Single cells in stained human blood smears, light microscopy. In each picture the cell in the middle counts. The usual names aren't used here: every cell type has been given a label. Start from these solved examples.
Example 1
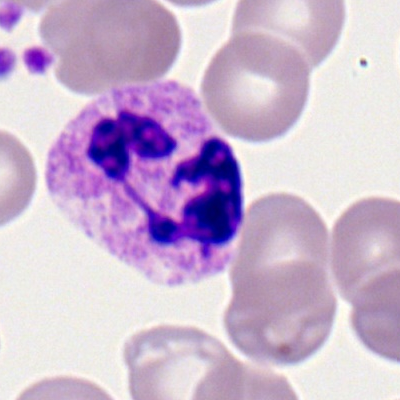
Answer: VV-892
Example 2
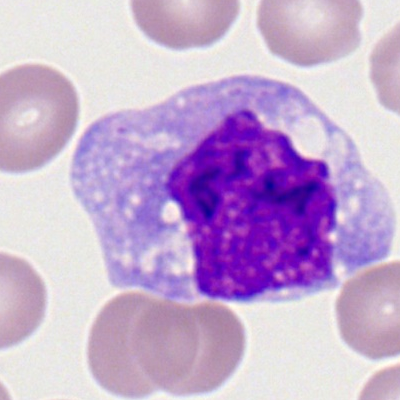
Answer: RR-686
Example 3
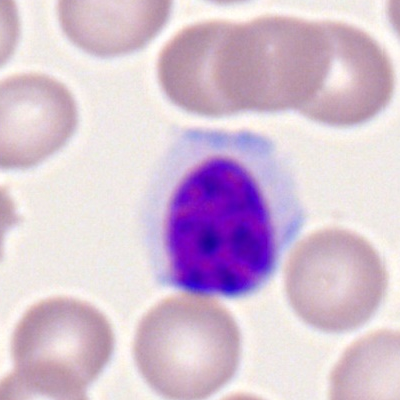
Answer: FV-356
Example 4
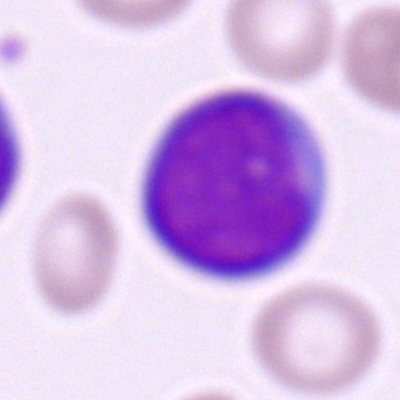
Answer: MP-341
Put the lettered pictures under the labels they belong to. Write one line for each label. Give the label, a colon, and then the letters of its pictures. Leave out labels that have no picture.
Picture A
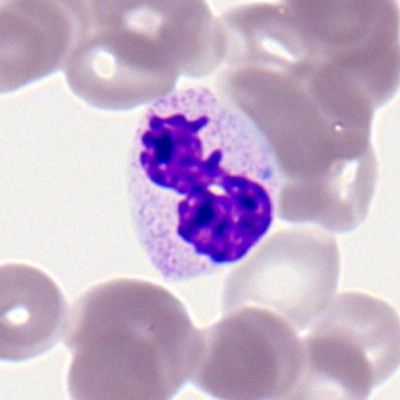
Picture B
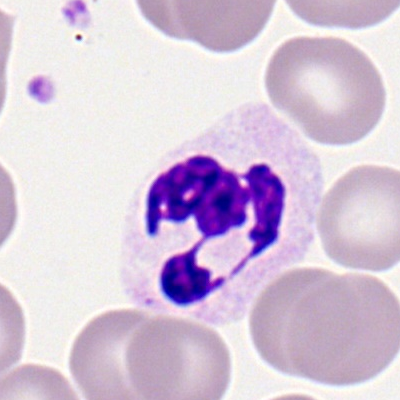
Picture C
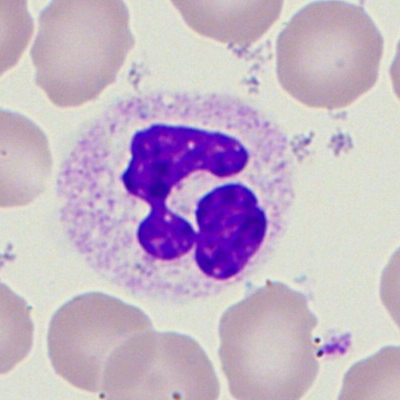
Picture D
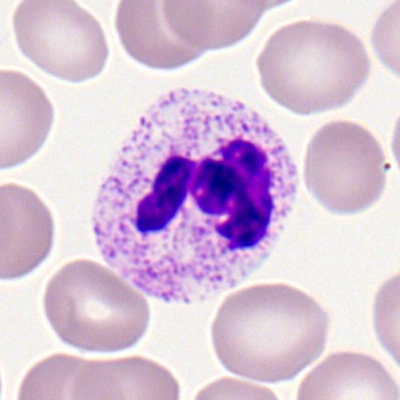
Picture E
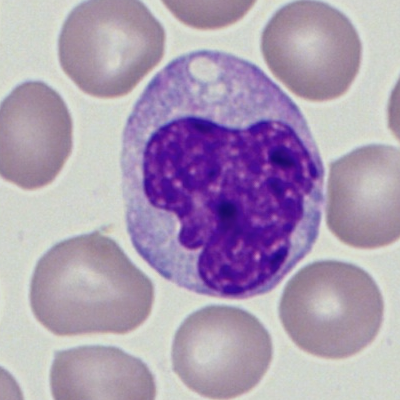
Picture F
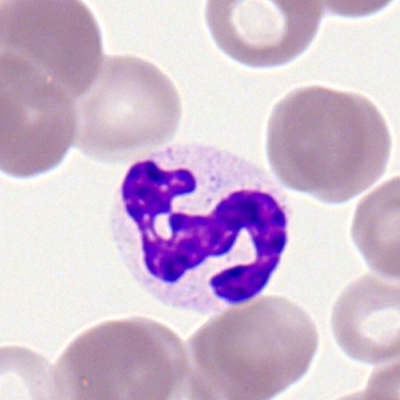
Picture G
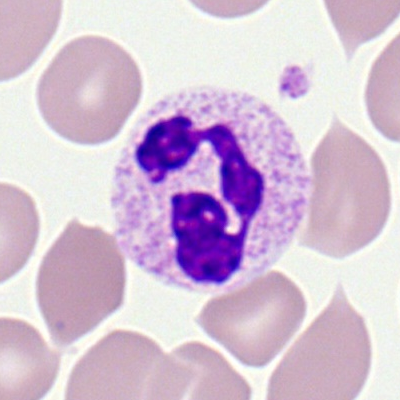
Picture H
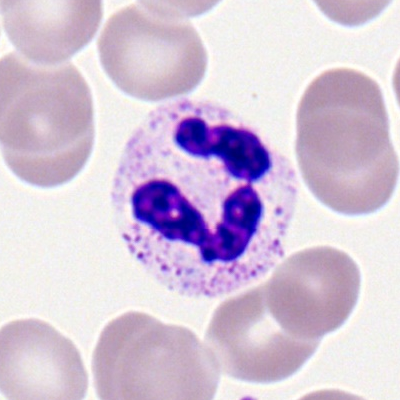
VV-892: A, B, C, D, F, G, H
RR-686: E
